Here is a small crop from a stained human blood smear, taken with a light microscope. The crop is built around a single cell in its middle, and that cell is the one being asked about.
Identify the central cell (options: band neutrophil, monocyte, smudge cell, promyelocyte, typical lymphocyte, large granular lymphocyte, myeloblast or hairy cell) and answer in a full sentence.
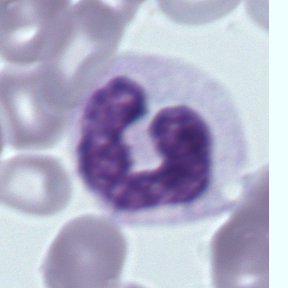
The single cell at the center of the crop is a band neutrophil.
